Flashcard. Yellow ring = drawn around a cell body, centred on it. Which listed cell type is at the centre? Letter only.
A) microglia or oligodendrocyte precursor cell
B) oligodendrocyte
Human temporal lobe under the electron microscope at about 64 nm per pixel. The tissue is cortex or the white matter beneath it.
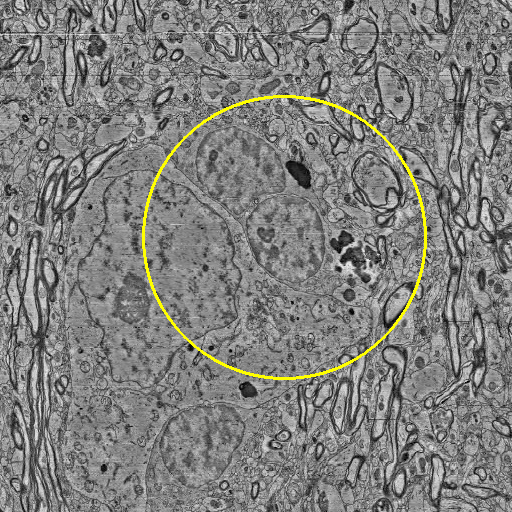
B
